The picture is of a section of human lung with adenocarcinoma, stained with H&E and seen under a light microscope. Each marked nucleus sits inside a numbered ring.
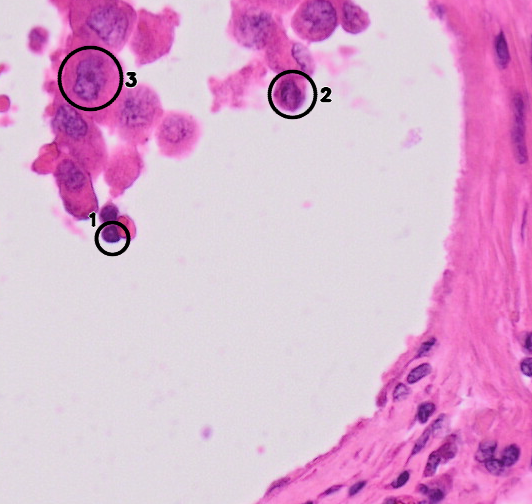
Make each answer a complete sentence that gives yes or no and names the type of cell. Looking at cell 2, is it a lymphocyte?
No, rather than a lymphocyte, cell number 2 is a macrophage or monocyte.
